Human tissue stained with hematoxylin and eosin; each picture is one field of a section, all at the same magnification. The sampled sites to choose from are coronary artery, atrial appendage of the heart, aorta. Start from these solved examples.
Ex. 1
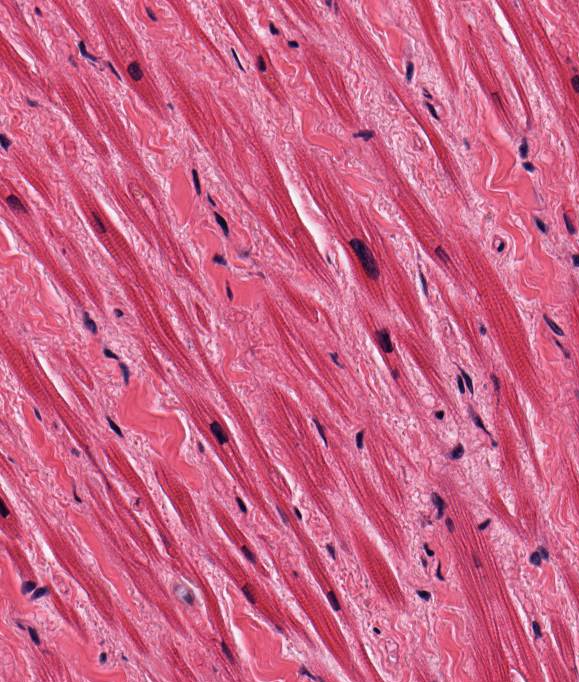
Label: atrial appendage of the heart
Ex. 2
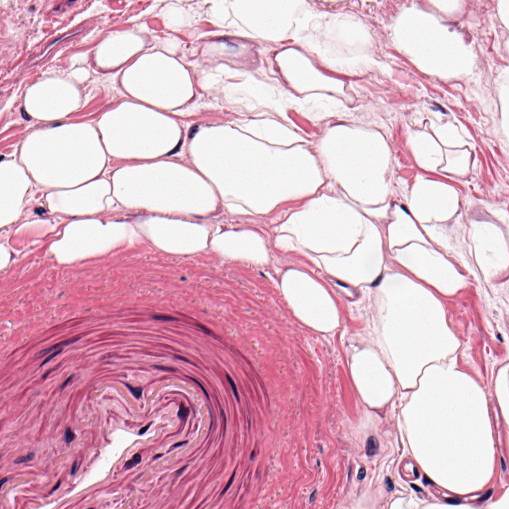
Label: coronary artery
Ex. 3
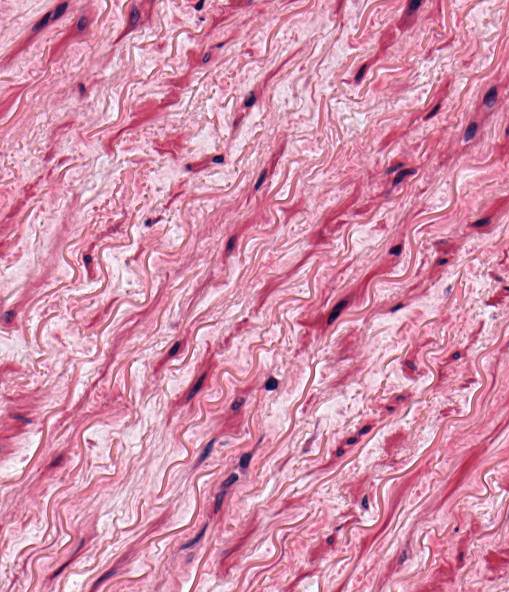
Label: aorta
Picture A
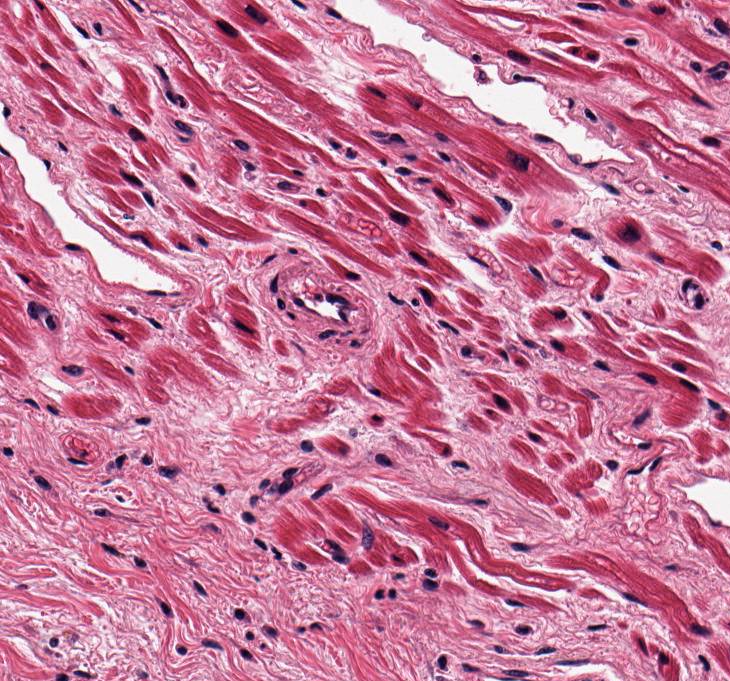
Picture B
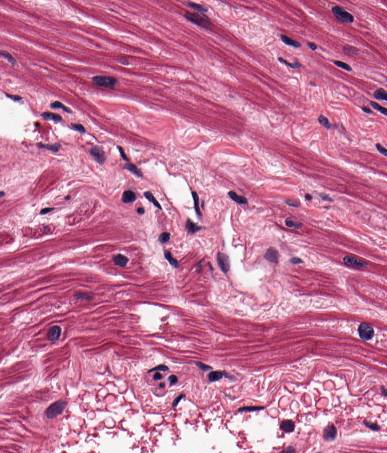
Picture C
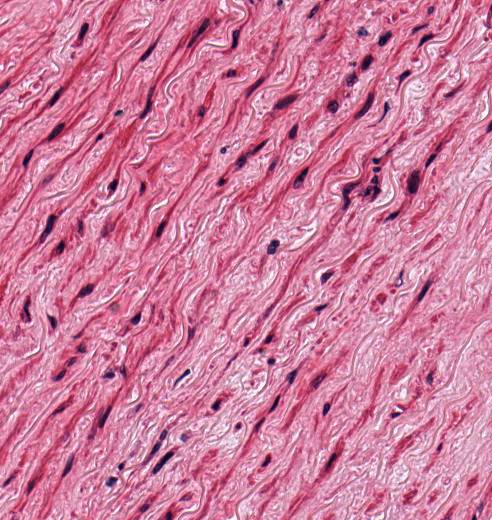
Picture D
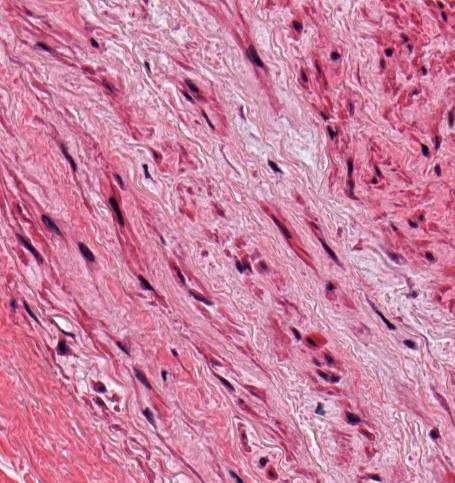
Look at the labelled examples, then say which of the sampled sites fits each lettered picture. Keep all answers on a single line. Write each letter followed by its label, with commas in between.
A atrial appendage of the heart, B atrial appendage of the heart, C aorta, D coronary artery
